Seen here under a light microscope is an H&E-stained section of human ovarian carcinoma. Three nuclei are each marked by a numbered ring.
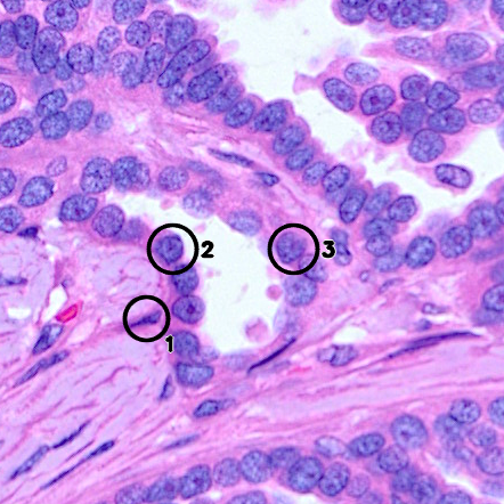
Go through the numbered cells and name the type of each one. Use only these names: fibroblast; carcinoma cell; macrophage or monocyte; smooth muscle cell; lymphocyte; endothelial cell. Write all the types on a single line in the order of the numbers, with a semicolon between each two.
fibroblast; carcinoma cell; carcinoma cell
